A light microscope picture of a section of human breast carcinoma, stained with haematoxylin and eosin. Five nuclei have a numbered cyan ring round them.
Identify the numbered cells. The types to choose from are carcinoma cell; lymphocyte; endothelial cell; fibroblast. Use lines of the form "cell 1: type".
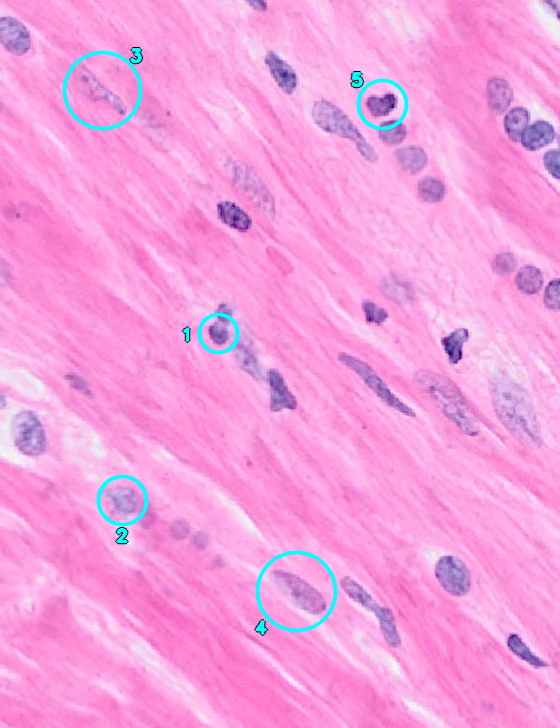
cell 1: lymphocyte
cell 2: fibroblast
cell 3: fibroblast
cell 4: fibroblast
cell 5: lymphocyte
